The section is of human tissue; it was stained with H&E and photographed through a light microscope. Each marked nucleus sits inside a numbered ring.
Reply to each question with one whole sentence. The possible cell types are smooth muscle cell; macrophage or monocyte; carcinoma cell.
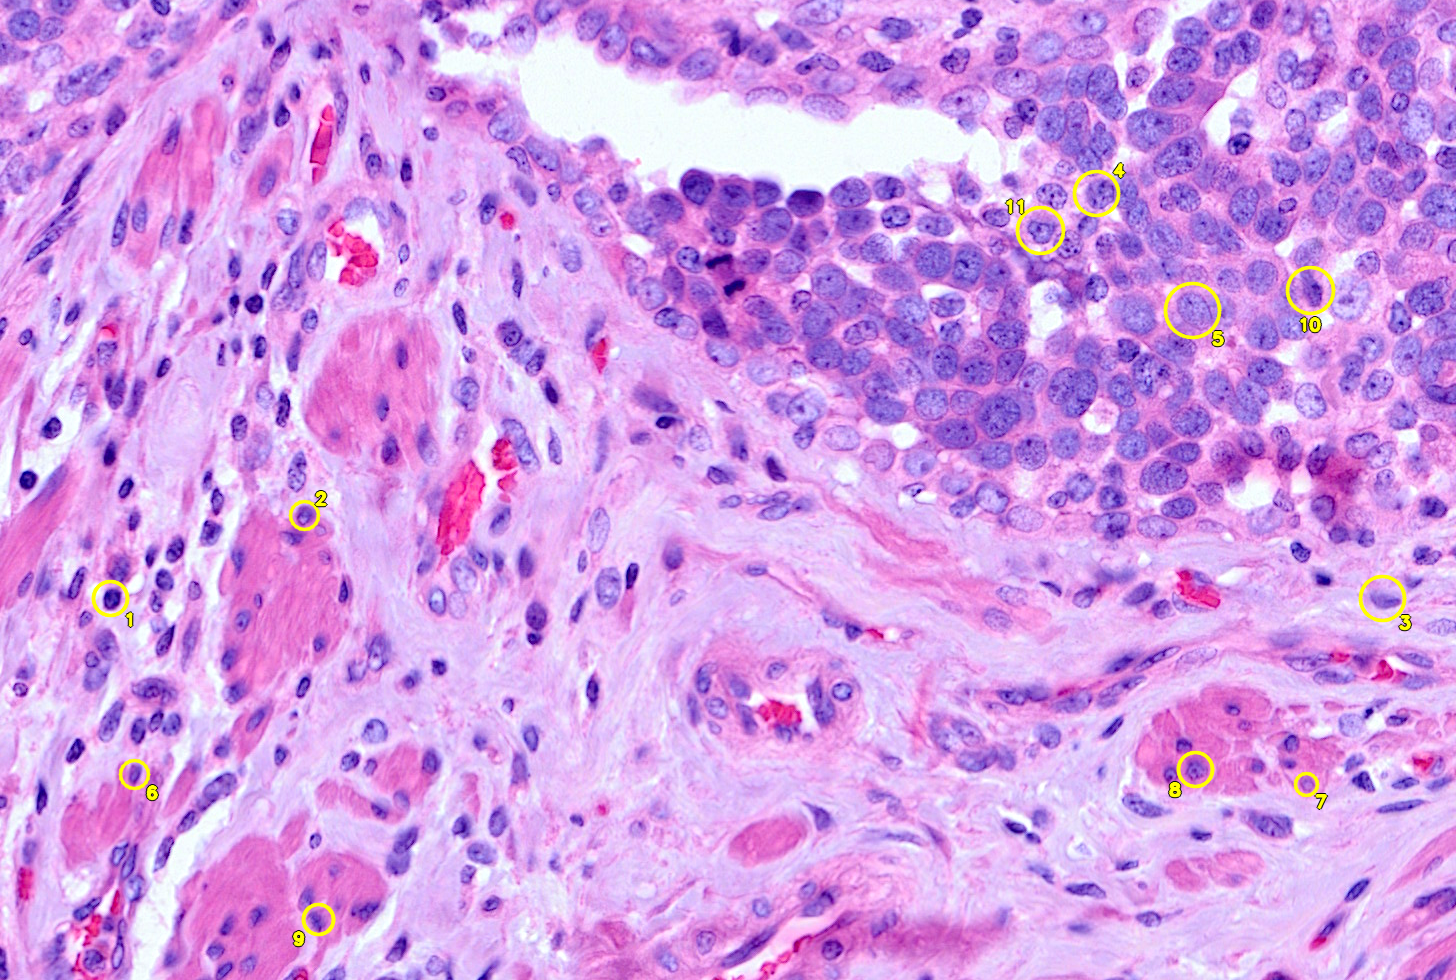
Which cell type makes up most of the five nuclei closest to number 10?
Most of the five nuclei nearest to number 10 are those of carcinoma cells.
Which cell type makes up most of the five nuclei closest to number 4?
Around number 4, most of the five nearest nuclei are those of macrophages or monocytes.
